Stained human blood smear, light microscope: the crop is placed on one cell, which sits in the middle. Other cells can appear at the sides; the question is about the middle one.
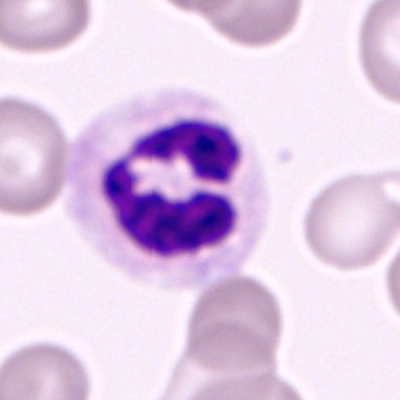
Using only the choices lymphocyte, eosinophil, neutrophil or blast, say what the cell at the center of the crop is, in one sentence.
The center cell of this crop is a neutrophil.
